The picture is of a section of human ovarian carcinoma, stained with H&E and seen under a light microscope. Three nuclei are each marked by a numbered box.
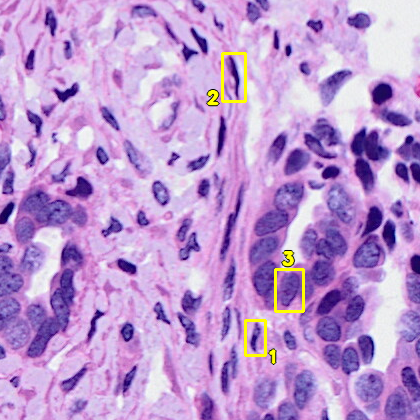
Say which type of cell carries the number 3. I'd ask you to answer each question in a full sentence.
The correct label for cell 3 is a carcinoma cell.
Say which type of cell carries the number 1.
Among the marked nuclei, number 1 belongs to a fibroblast.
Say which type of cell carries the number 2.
Looking at the numbered marks, cell 2 is a fibroblast.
